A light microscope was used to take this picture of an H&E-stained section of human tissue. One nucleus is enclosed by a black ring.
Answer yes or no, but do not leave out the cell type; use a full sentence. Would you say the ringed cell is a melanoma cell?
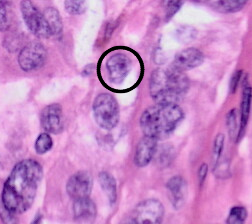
Yes, the ringed cell is accurately described as a melanoma cell.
